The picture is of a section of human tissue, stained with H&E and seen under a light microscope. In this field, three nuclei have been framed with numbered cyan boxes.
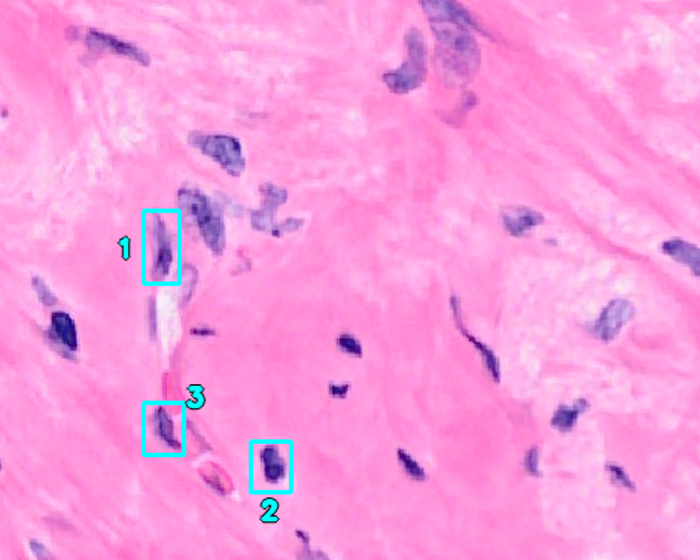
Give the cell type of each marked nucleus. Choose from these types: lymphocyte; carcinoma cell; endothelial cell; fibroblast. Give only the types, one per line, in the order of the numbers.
endothelial cell
lymphocyte
endothelial cell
